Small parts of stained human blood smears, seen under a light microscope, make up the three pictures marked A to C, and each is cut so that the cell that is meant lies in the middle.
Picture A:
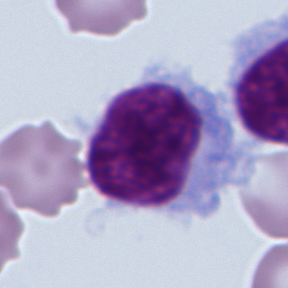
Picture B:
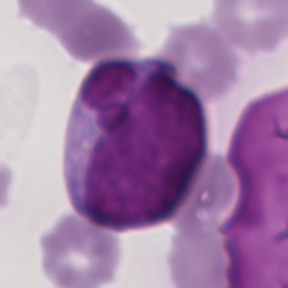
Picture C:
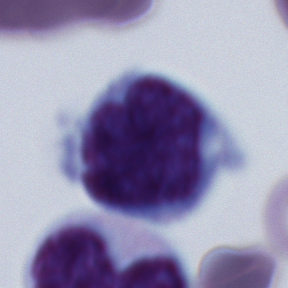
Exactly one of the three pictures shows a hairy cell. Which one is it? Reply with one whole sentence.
The cell in picture A is the hairy cell.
